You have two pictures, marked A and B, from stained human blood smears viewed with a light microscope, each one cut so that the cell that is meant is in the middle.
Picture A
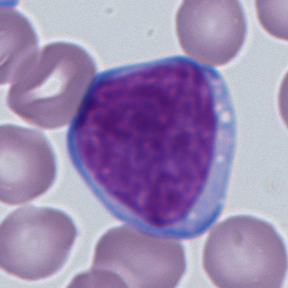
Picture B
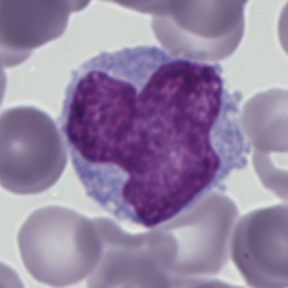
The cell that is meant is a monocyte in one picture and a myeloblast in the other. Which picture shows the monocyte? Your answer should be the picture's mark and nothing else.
B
